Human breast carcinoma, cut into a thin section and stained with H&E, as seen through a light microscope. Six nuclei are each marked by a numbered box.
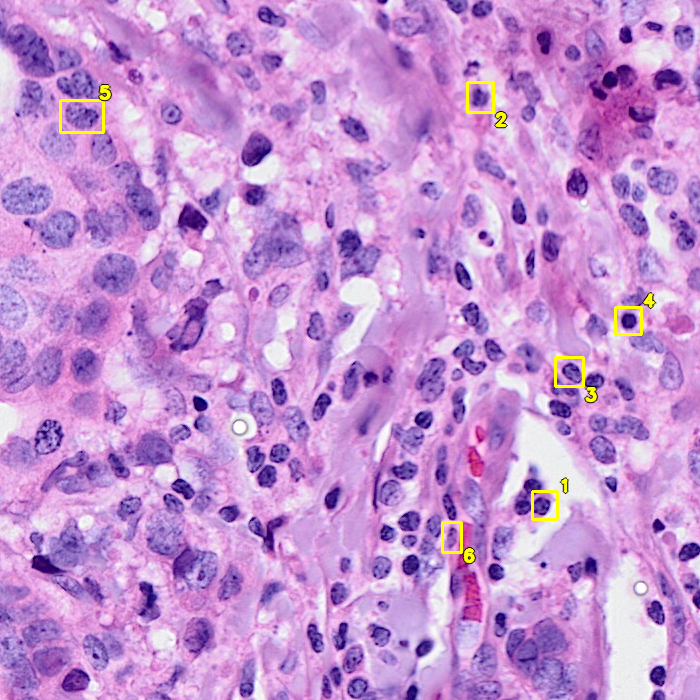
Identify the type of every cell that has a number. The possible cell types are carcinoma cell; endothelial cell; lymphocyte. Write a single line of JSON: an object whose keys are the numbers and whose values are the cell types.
{"1": "lymphocyte", "2": "lymphocyte", "3": "lymphocyte", "4": "lymphocyte", "5": "carcinoma cell", "6": "endothelial cell"}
